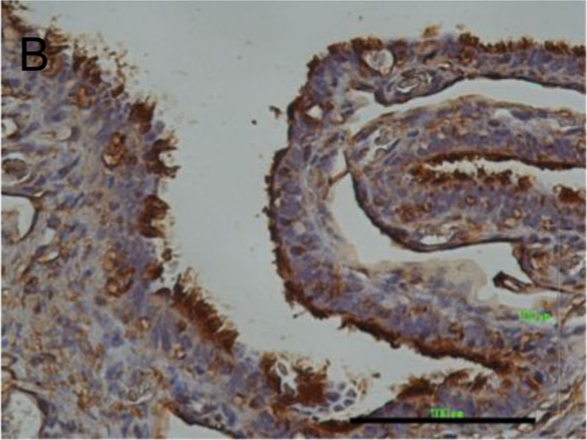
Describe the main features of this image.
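Mucosal folds of the fallopian tube are lined by a single layer of columnar epithelium with blue oval nuclei over a loose cellular stroma. Many lining cells carry a dark brown, brush-like fringe at their free surface, the ciliated cells, while some cells between them lack this fringe.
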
